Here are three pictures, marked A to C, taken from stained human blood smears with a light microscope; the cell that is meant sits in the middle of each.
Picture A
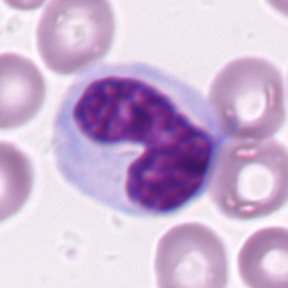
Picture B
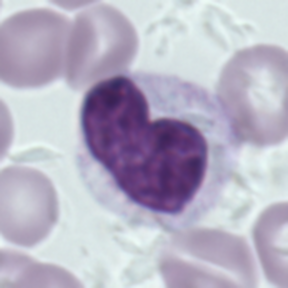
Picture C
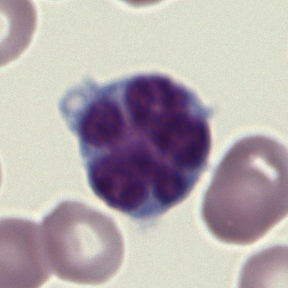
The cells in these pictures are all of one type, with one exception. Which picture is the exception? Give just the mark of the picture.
C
